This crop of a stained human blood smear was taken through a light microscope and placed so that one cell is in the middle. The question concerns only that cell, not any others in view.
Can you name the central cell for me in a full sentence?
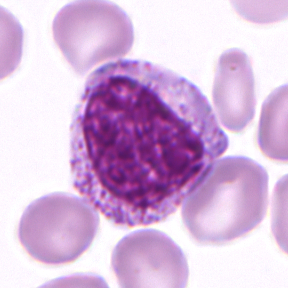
Here the centrally located cell is a metamyelocyte.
